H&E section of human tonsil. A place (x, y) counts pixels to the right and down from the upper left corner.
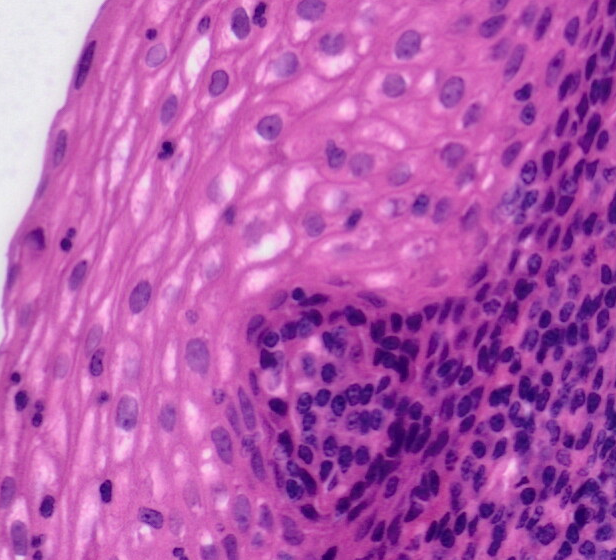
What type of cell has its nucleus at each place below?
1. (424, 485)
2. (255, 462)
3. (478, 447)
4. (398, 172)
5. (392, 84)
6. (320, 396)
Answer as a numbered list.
1. squamous epithelial cell
2. squamous epithelial cell
3. plasma cell
4. squamous epithelial cell
5. squamous epithelial cell
6. plasma cell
